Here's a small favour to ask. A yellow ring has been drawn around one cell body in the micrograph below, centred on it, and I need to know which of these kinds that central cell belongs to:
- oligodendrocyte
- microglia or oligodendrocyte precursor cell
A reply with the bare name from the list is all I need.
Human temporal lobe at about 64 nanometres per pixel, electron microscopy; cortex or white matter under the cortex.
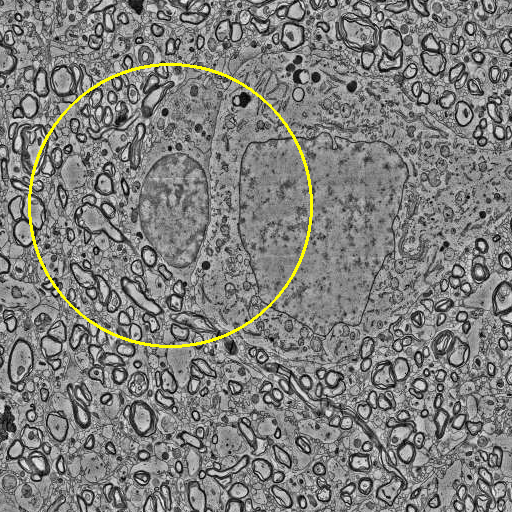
oligodendrocyte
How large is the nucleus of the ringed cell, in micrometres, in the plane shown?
Approximately 7 micrometres long and 5 micrometres wide, in this plane.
